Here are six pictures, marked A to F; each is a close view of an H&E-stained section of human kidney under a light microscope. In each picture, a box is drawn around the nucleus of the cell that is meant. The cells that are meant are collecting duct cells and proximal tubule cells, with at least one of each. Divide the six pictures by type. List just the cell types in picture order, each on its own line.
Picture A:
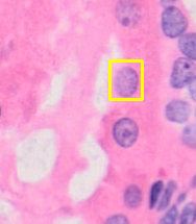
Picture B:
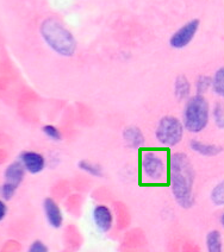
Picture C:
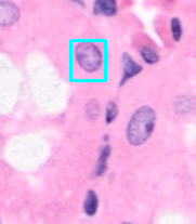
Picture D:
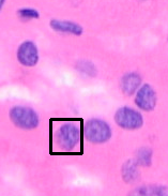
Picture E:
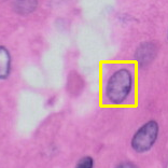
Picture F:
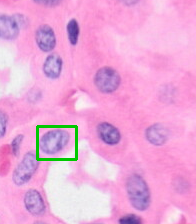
proximal tubule cell
collecting duct cell
proximal tubule cell
collecting duct cell
proximal tubule cell
collecting duct cell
